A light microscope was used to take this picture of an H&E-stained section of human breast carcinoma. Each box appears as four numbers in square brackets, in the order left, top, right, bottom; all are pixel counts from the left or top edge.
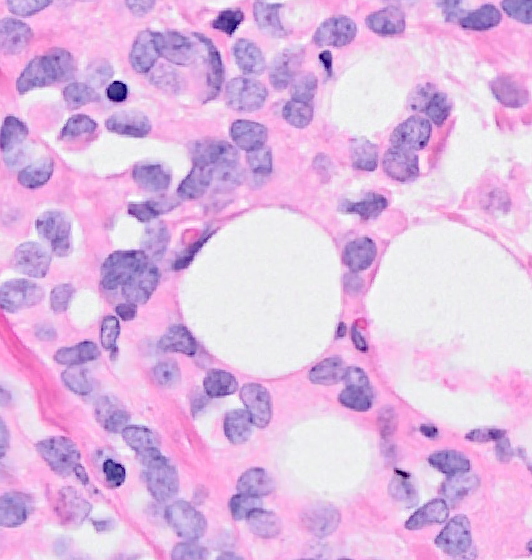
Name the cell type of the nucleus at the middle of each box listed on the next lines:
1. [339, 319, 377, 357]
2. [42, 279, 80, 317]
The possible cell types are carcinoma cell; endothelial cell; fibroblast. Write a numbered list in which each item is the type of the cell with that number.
1. endothelial cell
2. carcinoma cell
